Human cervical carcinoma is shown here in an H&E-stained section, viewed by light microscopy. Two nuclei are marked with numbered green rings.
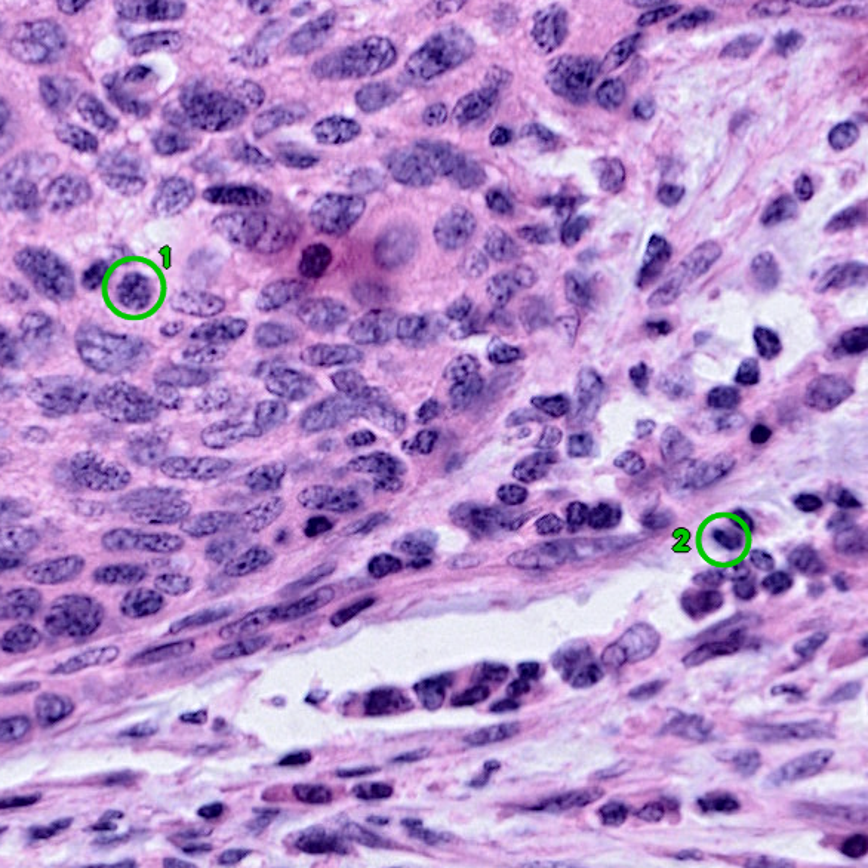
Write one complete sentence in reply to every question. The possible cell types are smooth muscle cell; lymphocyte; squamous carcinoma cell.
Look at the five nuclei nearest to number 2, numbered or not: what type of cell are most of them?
Of the five nuclei nearest to number 2, most belong to lymphocytes.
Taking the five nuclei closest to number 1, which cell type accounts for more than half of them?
The majority of the five nuclei closest to number 1 belong to squamous carcinoma cells.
